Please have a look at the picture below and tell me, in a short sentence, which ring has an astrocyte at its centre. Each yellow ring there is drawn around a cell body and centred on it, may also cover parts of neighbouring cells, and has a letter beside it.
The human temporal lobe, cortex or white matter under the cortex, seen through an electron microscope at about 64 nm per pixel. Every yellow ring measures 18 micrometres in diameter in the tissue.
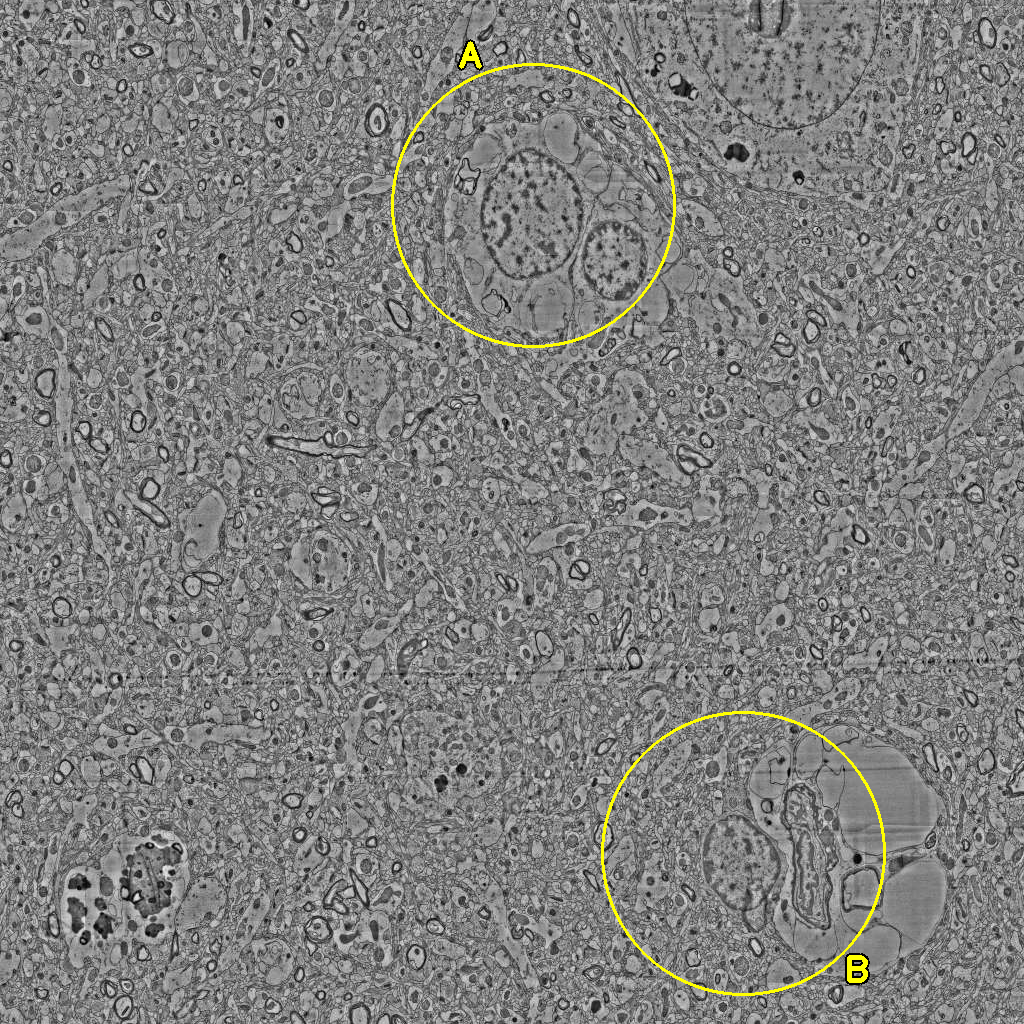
Ring A is centred on it.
